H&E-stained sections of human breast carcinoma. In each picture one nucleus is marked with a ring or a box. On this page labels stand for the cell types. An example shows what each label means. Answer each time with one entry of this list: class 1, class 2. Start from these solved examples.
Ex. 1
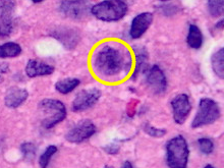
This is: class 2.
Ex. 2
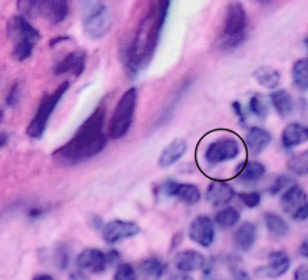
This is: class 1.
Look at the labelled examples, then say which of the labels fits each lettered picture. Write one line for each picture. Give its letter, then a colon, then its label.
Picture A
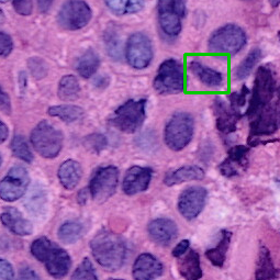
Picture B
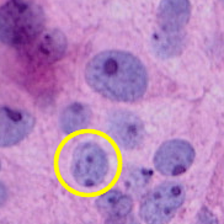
A: class 2.
B: class 2.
